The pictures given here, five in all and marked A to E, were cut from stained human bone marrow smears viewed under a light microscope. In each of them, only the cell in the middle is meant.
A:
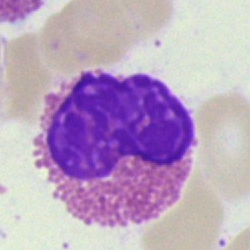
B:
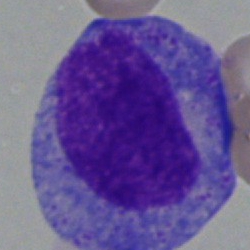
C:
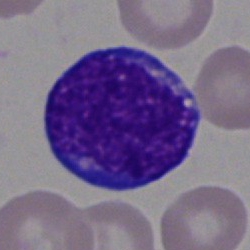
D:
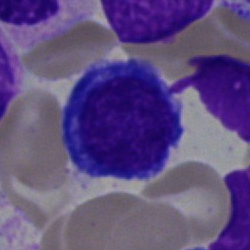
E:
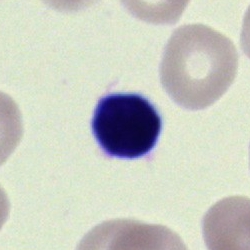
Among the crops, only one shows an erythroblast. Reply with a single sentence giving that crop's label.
Among the crops, only crop D contains an erythroblast.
